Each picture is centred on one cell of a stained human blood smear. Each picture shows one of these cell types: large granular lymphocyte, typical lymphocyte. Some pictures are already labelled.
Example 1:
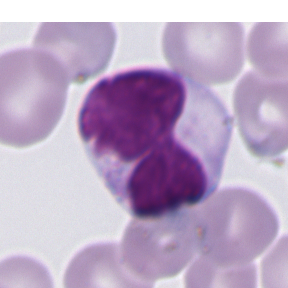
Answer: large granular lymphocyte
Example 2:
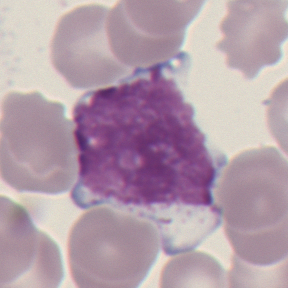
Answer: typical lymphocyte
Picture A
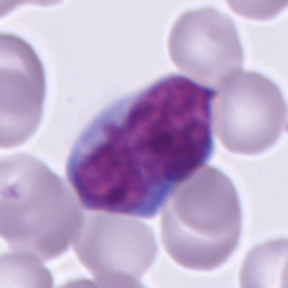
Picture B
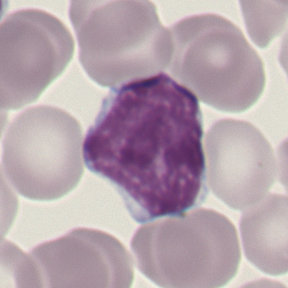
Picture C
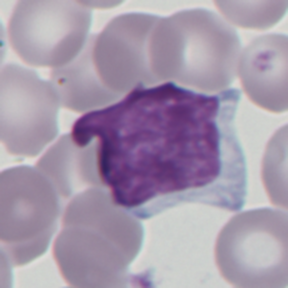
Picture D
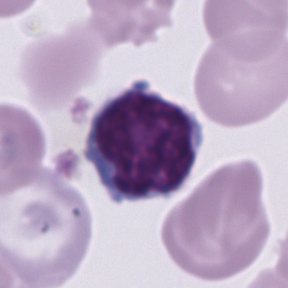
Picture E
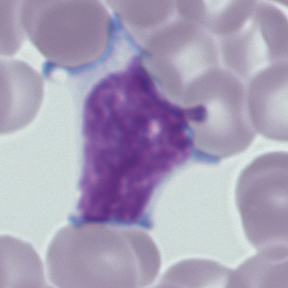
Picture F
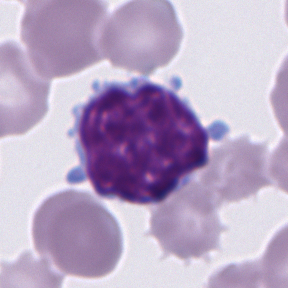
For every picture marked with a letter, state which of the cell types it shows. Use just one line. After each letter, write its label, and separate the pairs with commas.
A typical lymphocyte, B typical lymphocyte, C typical lymphocyte, D typical lymphocyte, E typical lymphocyte, F typical lymphocyte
